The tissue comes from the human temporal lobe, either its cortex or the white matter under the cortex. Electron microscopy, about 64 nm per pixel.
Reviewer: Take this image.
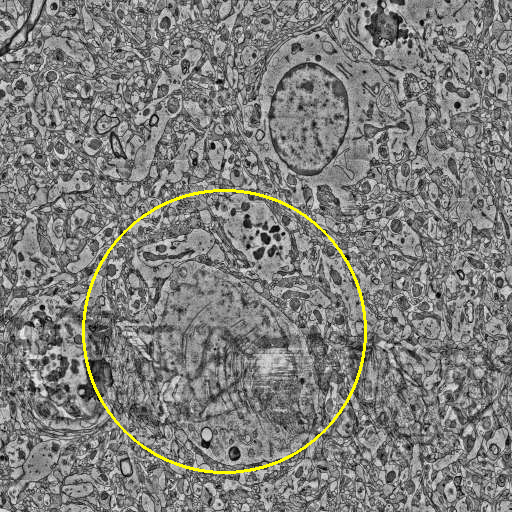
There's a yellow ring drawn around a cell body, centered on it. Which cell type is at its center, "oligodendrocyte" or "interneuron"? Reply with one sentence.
At the center of the yellow ring is an interneuron.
